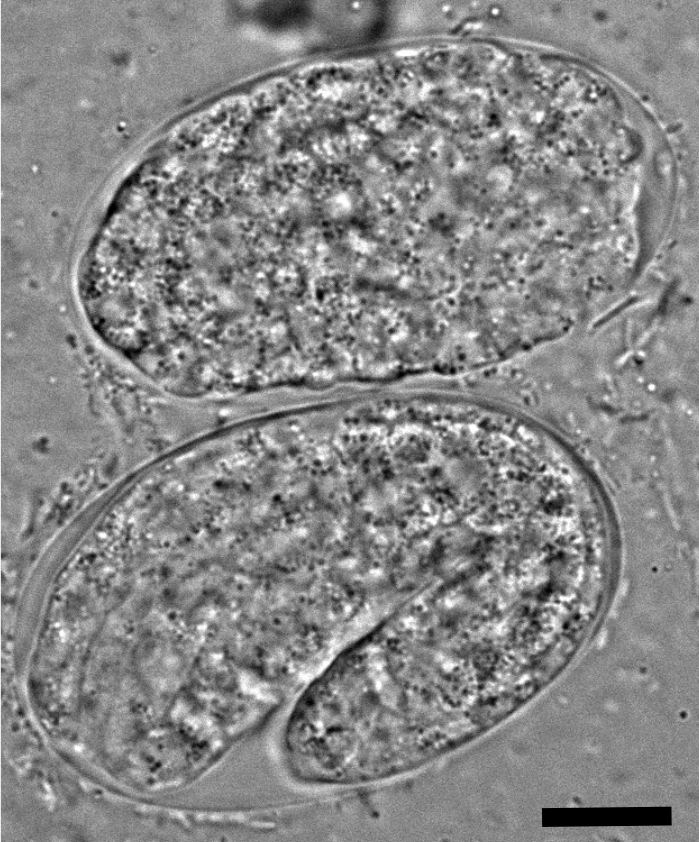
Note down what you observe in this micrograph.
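Two nematode embryos are shown inside their oval eggshells, imaged by differential interference contrast. The upper embryo is at an early elongation stage. It is a compact oval mass of granular cells with a slight indentation on one side. The lower embryo is at a later stage. Its body has begun to lengthen, and the posterior part is folded back beneath the anterior part, reaching part way along it. A narrow cleft separates the folded regions. Both embryos fill most of the eggshell. The cytoplasm is densely granular throughout, and cell boundaries are only faintly visible.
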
